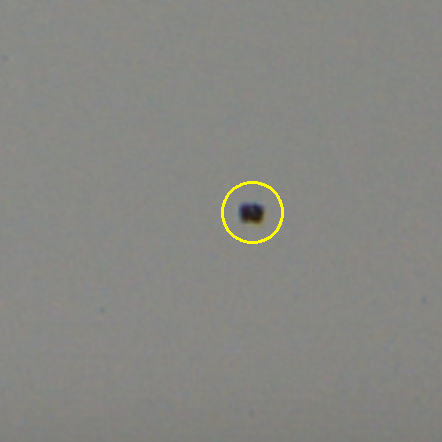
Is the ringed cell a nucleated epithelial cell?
No, it is a leukocyte.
